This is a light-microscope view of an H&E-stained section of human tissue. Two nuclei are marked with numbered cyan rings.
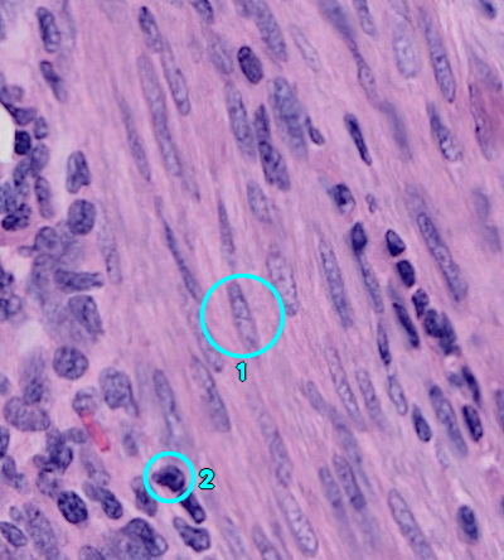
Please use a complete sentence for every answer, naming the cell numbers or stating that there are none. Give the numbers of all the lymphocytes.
Within the set of numbered cells, only number 2 is a lymphocyte.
